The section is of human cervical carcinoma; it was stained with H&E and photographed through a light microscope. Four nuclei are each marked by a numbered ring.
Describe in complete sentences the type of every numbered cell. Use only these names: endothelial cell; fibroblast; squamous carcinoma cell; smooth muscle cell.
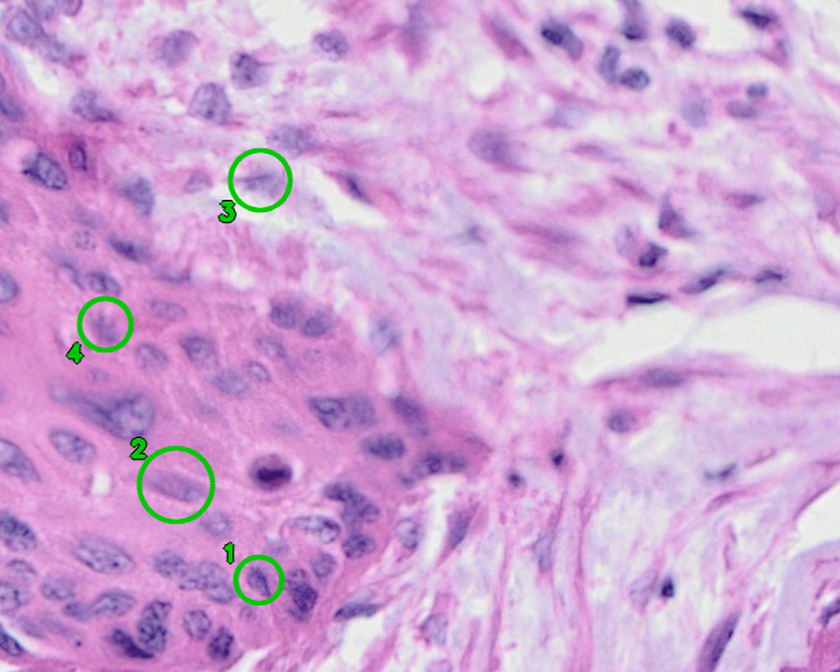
Cells 1, 2 and 4 are squamous carcinoma cells. Cell 3 is a fibroblast.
